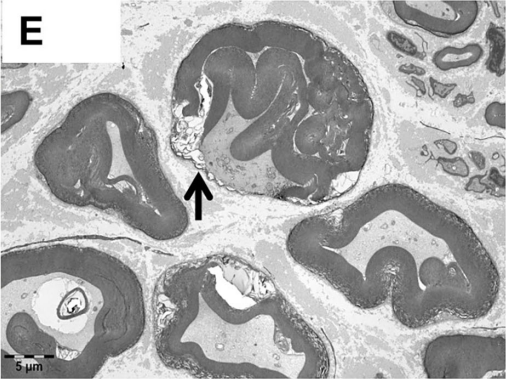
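Cross-sectioned myelinated nerve fibers of a peripheral nerve are seen at electron-microscopic scale, each with a thick, electron-dense dark myelin sheath around a paler axon. Many sheaths have irregular, infolded outlines rather than smooth rings. In one large fiber the sheath is partly broken up into loose, pale, vacuolated material at its margin, while neighbouring sheaths stay compact. Smaller fibers lie in the grey endoneurial space toward the upper right.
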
